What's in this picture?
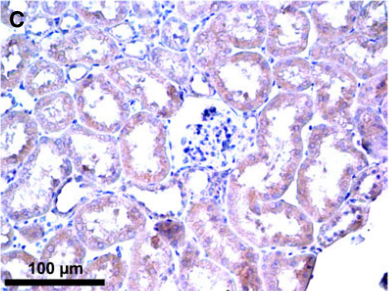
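This is kidney cortex showing tubules arranged around a central glomerulus. The tubule epithelial cells are cuboidal with pale, faintly pink-brown cytoplasm and open lumens. Blue nuclei lie in the epithelium and in the narrow interstitium between tubules. Overall staining of the tissue is light.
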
